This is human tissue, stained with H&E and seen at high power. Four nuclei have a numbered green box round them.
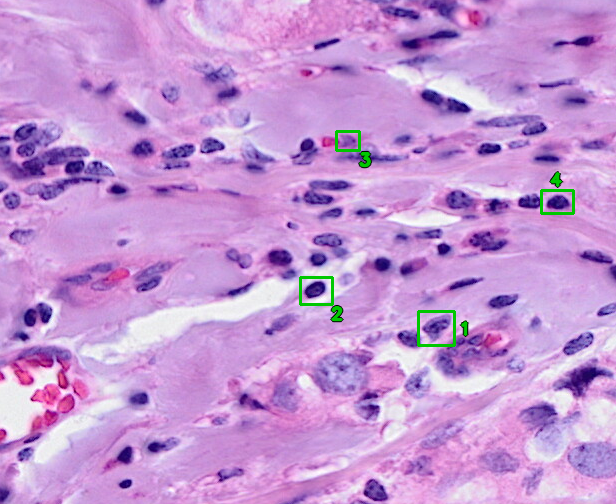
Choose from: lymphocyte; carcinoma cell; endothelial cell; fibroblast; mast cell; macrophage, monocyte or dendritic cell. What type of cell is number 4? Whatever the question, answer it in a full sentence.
The marked cell bearing number 4 is a lymphocyte.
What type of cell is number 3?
The nucleus labeled 3 belongs to an endothelial cell.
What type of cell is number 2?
Within this field of view, the cell labelled 2 is a lymphocyte.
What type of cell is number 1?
The cell carrying label 1 is identified as a lymphocyte.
